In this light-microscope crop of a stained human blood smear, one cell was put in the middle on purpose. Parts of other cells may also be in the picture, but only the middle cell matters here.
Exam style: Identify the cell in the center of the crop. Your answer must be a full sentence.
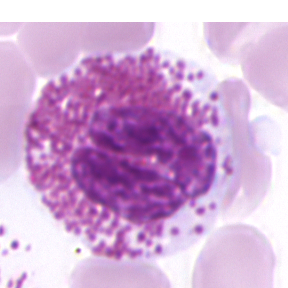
Standing at the centre of this crop is an eosinophil.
